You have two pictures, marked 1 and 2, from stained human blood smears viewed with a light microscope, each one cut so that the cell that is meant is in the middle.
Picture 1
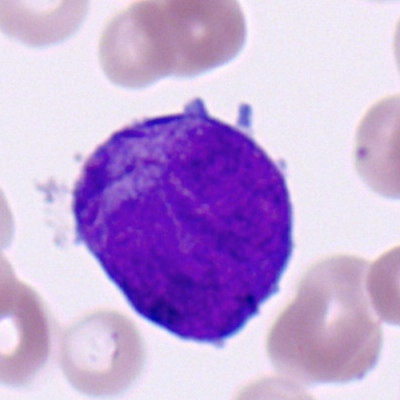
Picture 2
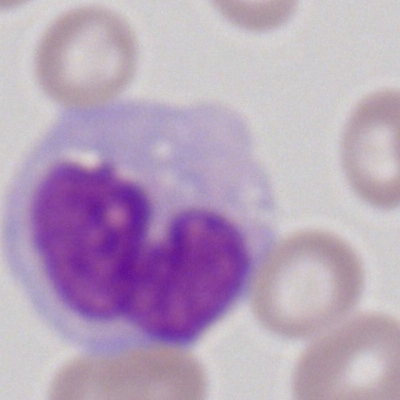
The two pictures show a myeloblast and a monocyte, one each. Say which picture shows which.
1: myeloblast
2: monocyte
